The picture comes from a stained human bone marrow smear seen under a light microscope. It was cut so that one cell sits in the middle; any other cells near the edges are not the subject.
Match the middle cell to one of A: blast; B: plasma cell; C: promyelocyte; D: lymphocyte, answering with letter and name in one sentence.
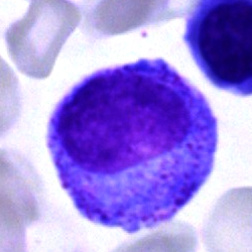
The central cell is a promyelocyte, which makes option C the right answer.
